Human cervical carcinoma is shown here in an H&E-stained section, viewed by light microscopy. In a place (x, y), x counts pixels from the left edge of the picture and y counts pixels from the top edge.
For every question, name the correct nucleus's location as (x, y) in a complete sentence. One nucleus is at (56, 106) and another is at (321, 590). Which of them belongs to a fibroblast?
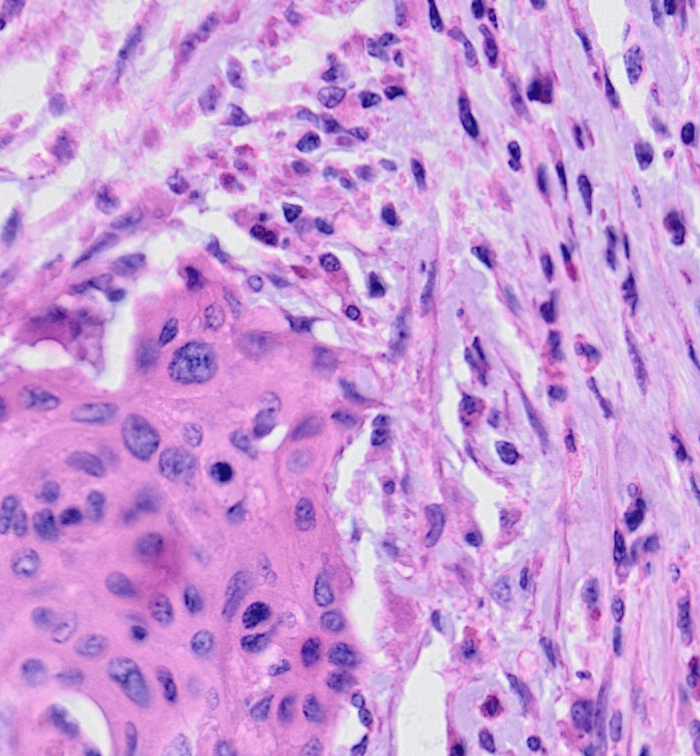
The pair contains one nucleus of a fibroblast, namely the one at (56, 106).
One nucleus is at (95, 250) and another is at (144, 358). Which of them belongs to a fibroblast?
Of the two nuclei, the one sitting at (95, 250) belongs to a fibroblast.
